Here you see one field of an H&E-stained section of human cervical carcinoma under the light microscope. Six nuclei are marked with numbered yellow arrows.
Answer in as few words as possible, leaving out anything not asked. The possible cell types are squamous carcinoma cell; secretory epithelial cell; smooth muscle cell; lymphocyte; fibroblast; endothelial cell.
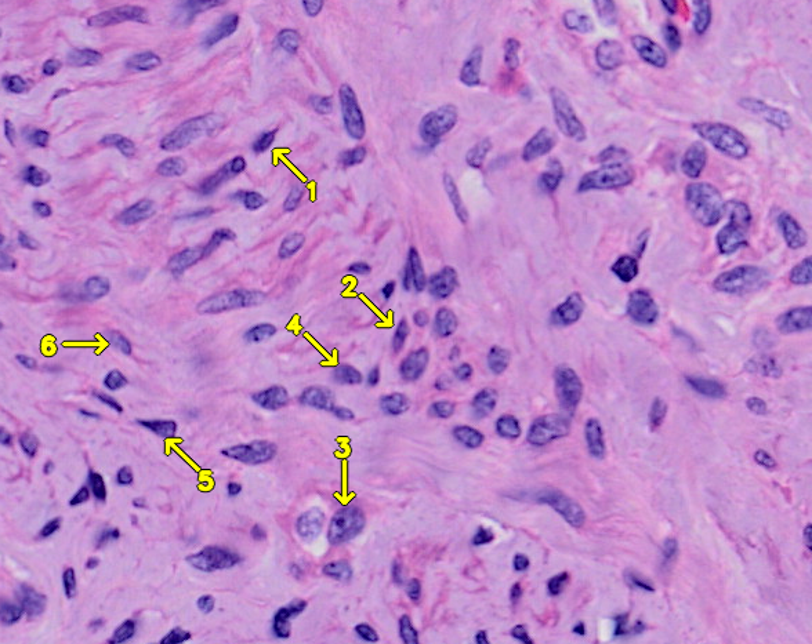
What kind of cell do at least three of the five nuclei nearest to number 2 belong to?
smooth muscle cell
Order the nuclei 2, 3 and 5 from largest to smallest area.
3, 5, 2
